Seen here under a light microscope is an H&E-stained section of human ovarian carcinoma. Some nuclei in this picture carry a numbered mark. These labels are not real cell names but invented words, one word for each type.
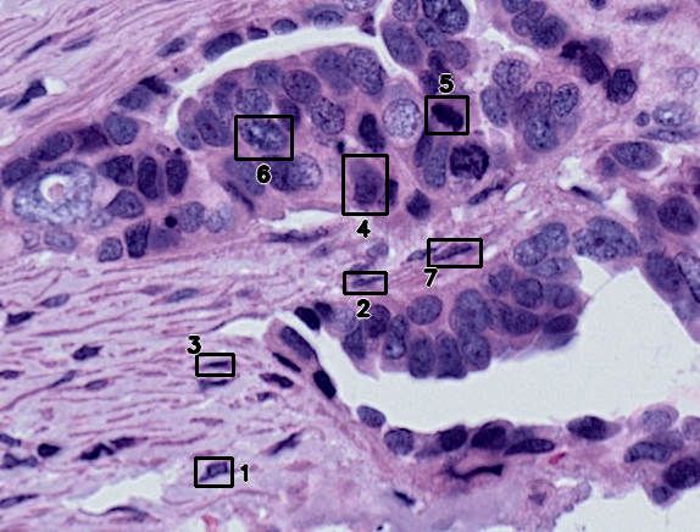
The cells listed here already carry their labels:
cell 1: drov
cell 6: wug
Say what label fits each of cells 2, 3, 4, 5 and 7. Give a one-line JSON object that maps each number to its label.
{"2": "drov", "3": "drov", "4": "wug", "5": "wug", "7": "drov"}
